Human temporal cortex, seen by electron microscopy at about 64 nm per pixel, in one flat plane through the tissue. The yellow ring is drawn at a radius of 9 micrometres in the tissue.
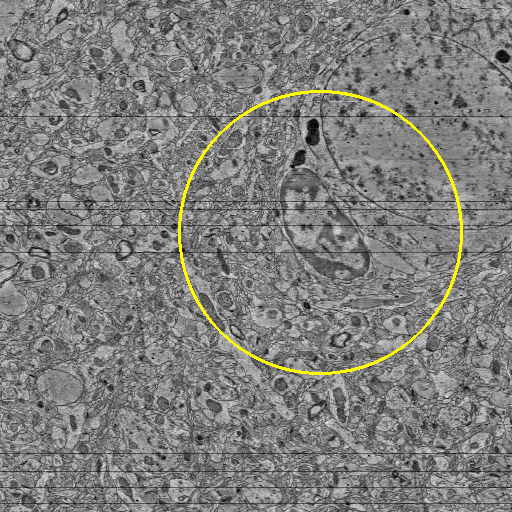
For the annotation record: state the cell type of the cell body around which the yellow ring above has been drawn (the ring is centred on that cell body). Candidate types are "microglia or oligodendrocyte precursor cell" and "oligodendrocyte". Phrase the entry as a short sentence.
The ringed cell is a microglial cell or oligodendrocyte precursor cell.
